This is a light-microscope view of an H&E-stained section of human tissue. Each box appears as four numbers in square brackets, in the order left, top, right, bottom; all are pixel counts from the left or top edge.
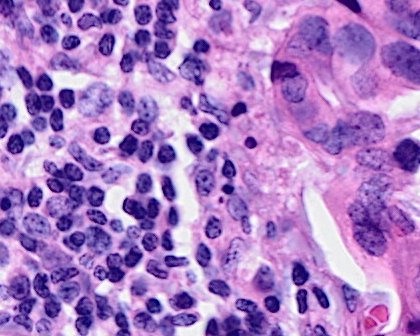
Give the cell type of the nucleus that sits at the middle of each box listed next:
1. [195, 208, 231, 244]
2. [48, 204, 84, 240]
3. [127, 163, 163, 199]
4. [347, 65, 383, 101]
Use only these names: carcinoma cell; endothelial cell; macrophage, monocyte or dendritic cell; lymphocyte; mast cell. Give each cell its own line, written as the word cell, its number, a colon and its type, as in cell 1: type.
cell 1: lymphocyte
cell 2: lymphocyte
cell 3: lymphocyte
cell 4: carcinoma cell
